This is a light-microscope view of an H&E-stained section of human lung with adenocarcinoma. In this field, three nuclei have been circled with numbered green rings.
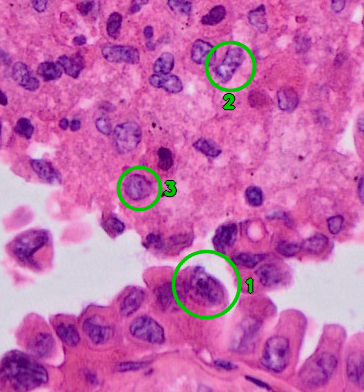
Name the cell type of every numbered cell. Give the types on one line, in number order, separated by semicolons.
carcinoma cell; macrophage or monocyte; macrophage or monocyte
